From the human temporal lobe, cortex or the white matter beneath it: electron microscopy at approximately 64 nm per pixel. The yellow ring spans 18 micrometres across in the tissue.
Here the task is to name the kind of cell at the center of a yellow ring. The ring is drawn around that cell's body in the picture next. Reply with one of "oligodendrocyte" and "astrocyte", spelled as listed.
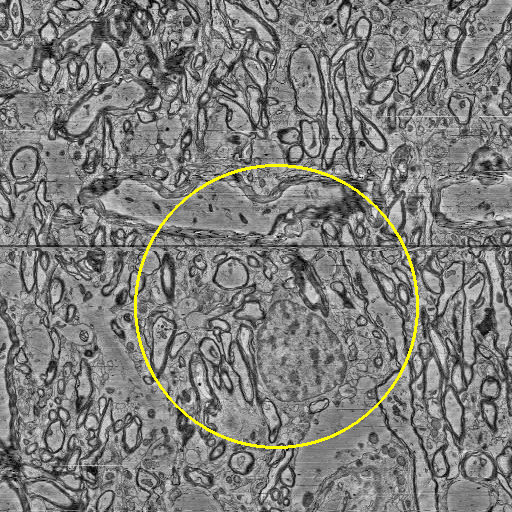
oligodendrocyte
